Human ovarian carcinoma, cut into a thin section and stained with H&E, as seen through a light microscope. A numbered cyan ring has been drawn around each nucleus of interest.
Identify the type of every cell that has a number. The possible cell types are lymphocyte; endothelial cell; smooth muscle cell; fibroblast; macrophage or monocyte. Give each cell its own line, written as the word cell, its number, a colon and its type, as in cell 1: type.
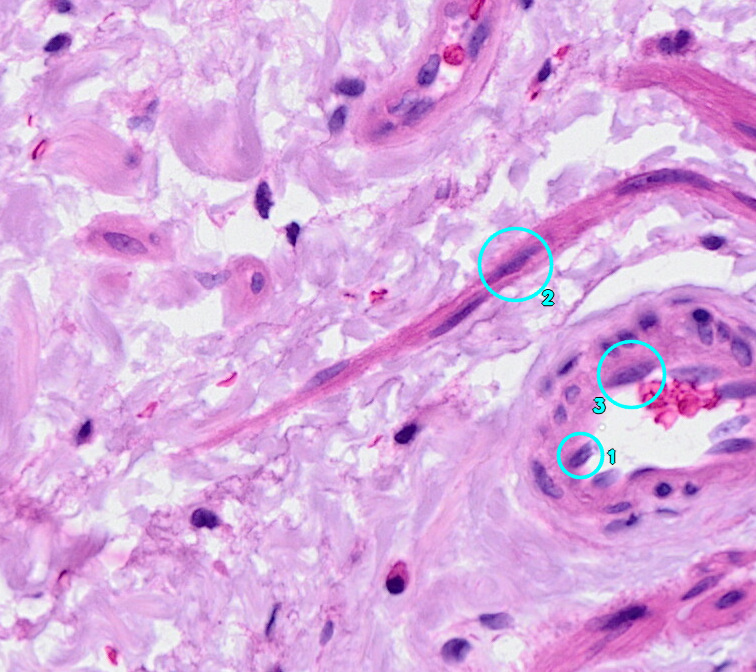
cell 1: endothelial cell
cell 2: smooth muscle cell
cell 3: endothelial cell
